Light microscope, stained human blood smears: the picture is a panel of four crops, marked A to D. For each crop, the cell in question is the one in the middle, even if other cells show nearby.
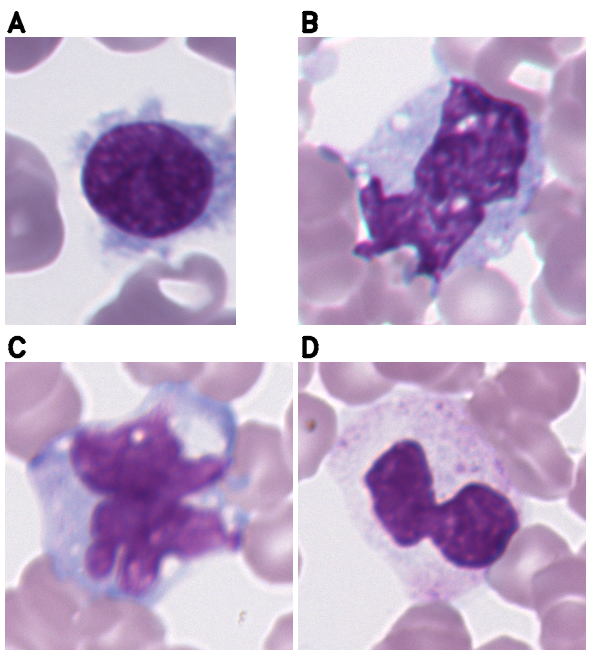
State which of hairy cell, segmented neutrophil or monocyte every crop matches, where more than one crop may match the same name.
A: hairy cell
B: monocyte
C: monocyte
D: segmented neutrophil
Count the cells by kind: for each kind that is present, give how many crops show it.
monocyte: 2
hairy cell: 1
segmented neutrophil: 1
